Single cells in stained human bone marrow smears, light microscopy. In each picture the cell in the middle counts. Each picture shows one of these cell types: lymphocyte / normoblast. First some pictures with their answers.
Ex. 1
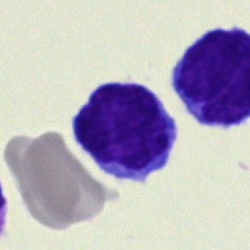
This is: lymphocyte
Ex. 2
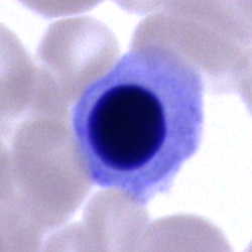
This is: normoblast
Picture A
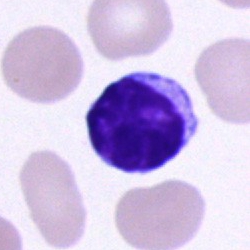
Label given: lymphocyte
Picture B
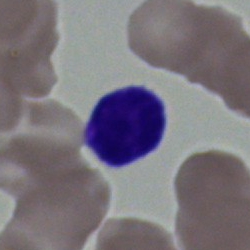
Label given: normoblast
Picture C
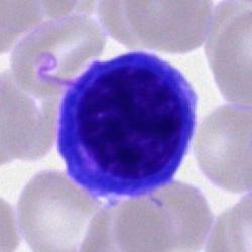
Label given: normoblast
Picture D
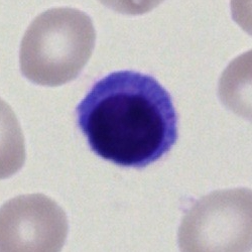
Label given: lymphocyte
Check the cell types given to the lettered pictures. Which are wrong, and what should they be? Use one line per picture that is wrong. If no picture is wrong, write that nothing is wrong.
B: change normoblast to lymphocyte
